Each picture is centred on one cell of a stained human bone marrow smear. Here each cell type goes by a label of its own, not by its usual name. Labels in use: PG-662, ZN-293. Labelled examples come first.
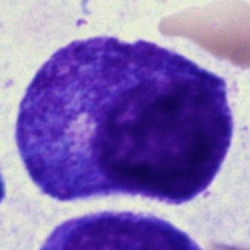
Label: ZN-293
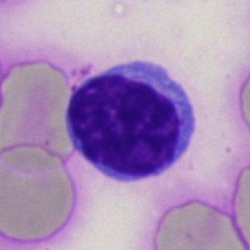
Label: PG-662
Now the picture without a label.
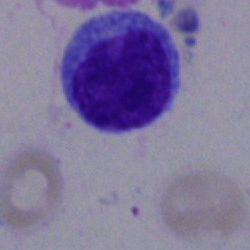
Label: PG-662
